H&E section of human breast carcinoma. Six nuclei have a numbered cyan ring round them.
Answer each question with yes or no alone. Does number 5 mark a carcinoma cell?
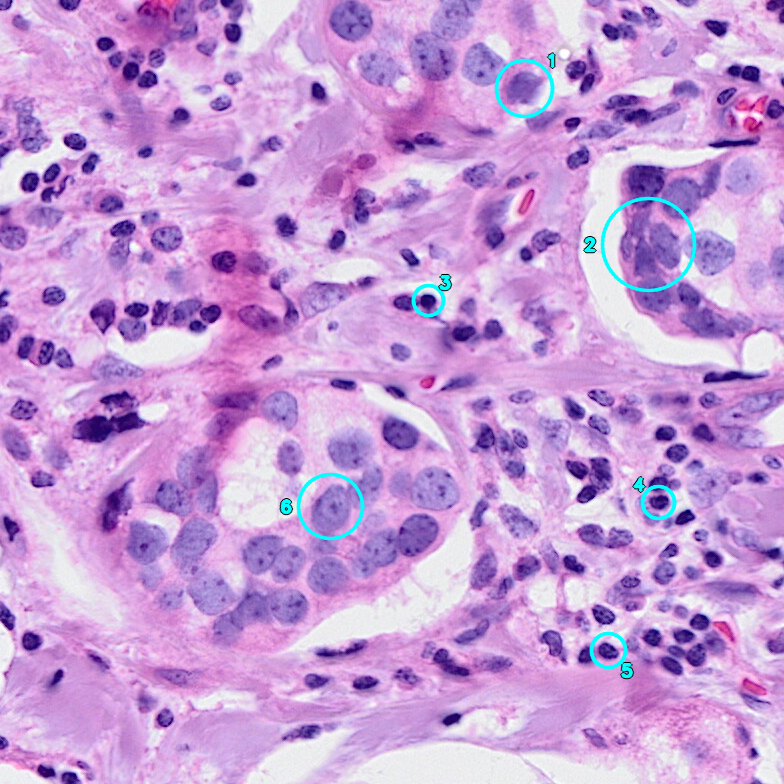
no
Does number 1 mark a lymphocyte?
no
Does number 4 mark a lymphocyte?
yes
